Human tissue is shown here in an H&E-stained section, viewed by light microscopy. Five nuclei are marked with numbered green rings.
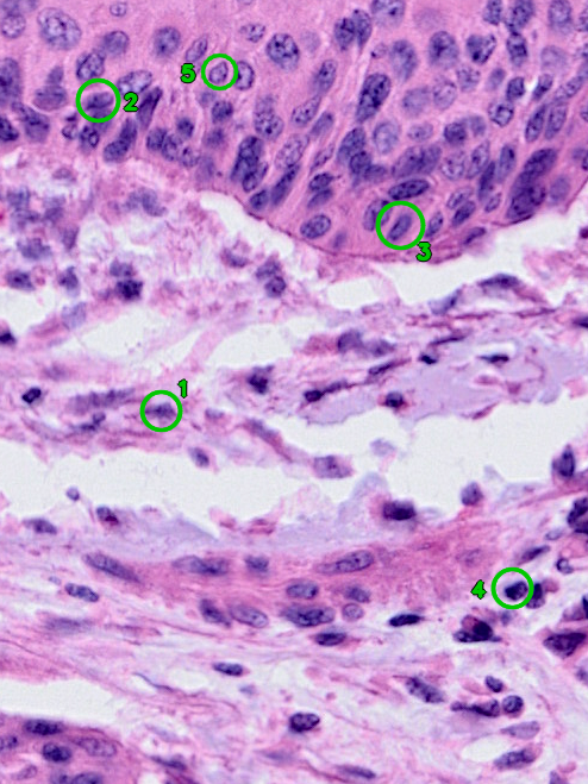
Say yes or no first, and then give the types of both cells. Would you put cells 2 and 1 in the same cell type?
No, cell 2 is to be identified as a squamous carcinoma cell and cell 1 as a fibroblast.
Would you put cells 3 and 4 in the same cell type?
No, cell 3 is a squamous carcinoma cell, with cell 4 being a lymphocyte.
